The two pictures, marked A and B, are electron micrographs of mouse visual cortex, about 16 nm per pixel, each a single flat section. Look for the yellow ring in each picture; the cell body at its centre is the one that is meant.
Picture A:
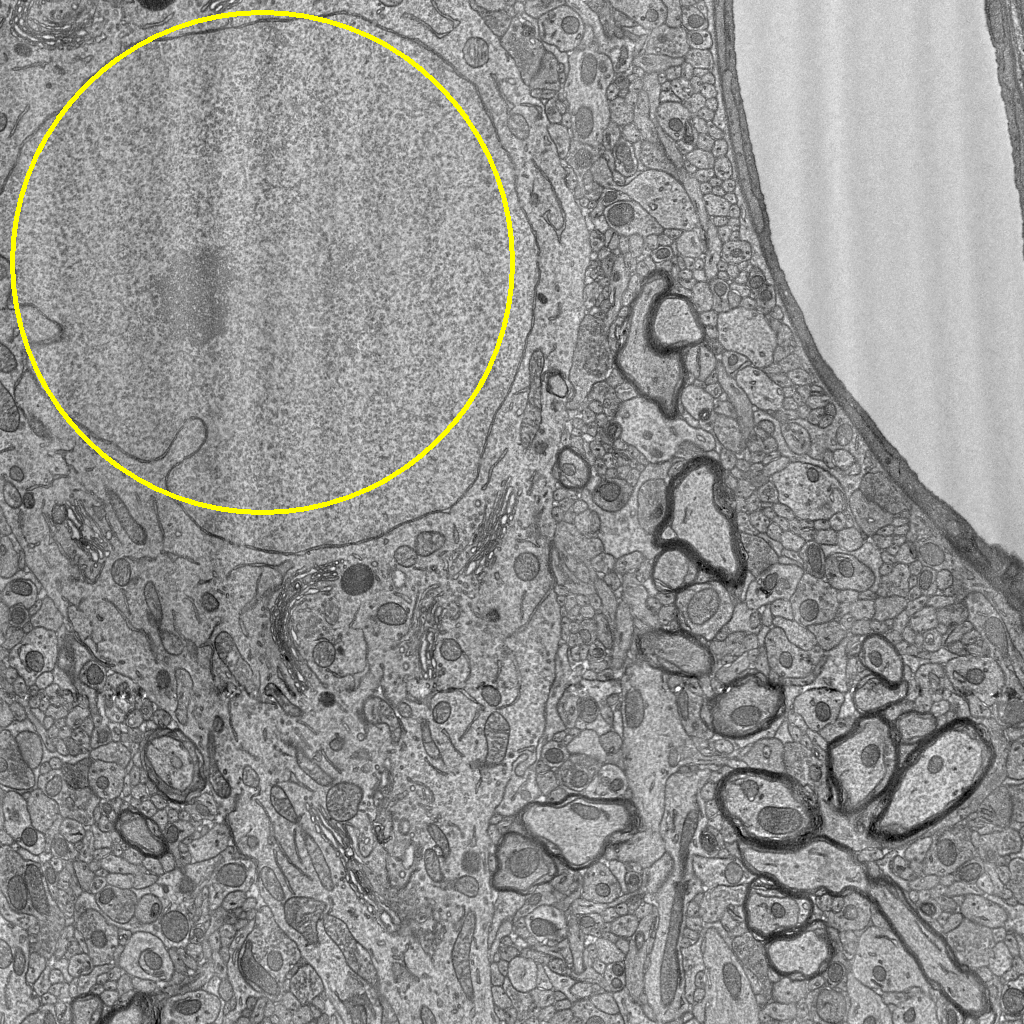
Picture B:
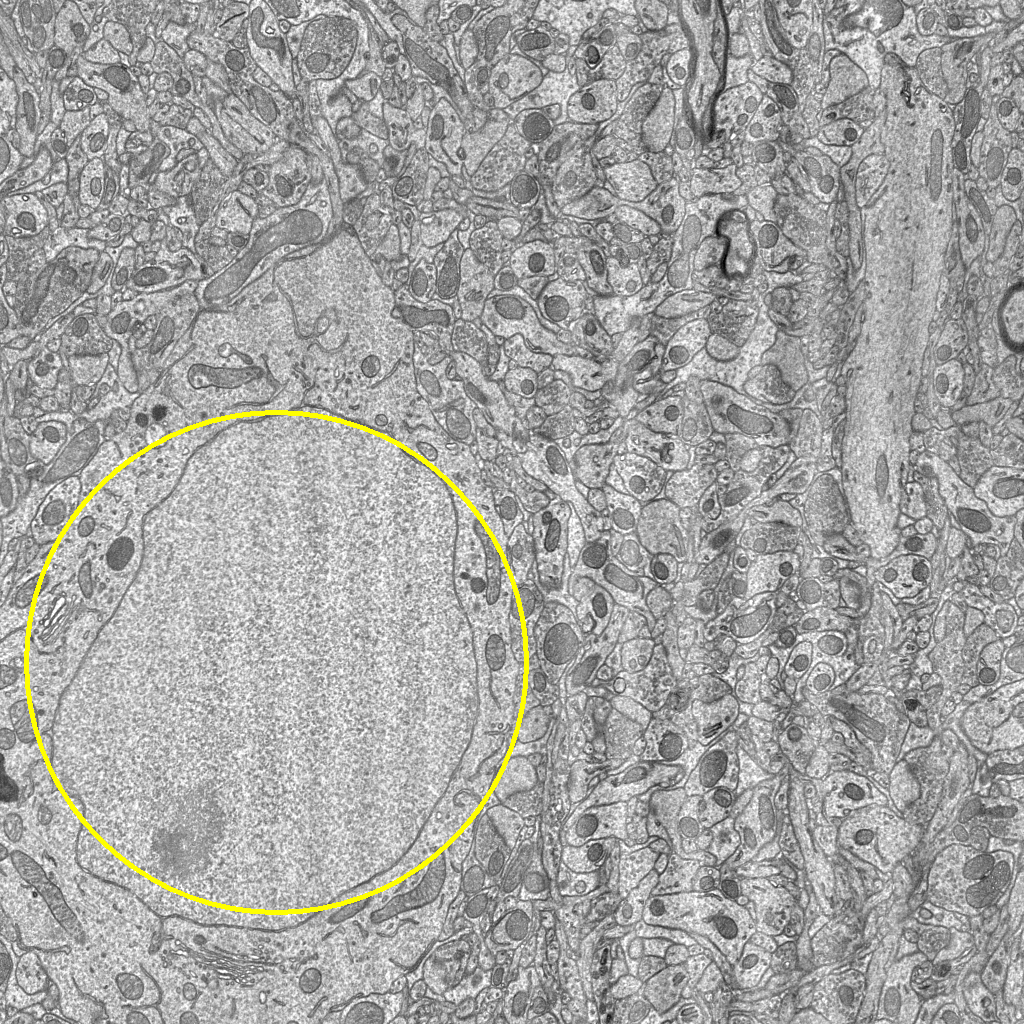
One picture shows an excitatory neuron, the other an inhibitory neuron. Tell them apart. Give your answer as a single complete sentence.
The cell in picture A is an inhibitory neuron, and the one in picture B is an excitatory neuron.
